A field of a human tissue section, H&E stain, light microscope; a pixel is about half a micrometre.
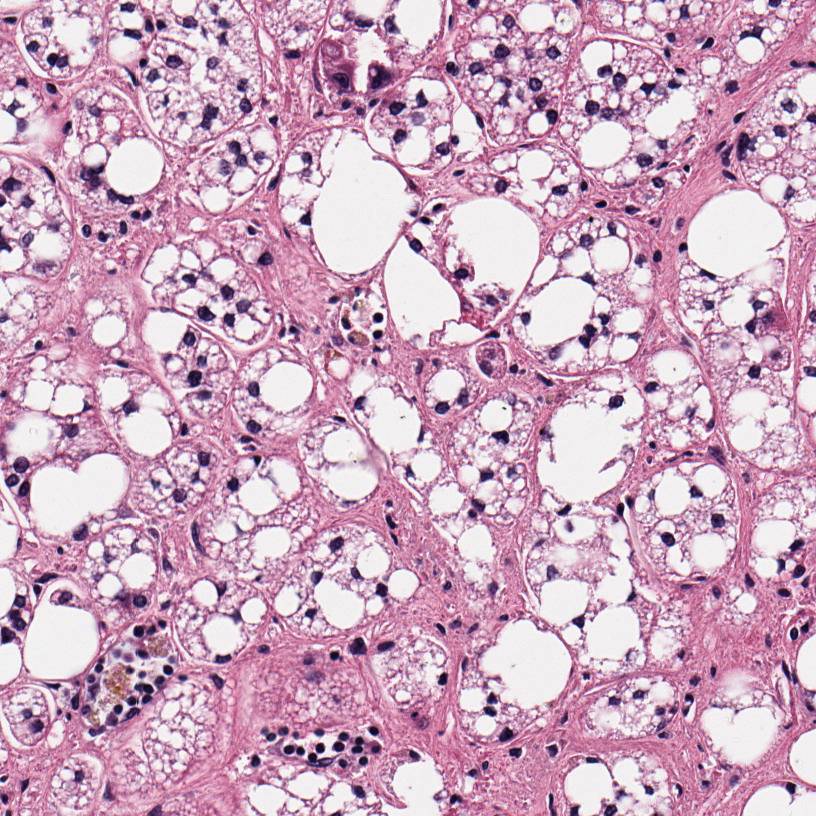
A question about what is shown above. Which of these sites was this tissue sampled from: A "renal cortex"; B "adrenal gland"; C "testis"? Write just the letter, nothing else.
B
